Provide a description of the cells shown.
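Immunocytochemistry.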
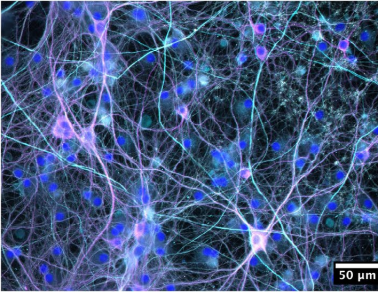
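Between the cell bodies runs a fine meshwork of pale white and cyan processes, some of them long, straight fibers crossing the whole field. Many other blue nuclei lie scattered among the processes without a prominent stained cell body around them.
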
